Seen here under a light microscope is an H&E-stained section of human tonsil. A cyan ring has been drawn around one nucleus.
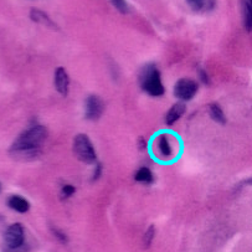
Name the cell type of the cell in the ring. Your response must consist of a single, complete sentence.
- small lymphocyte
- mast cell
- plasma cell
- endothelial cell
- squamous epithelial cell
The cell type of the cell in the ring is that of a mast cell.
